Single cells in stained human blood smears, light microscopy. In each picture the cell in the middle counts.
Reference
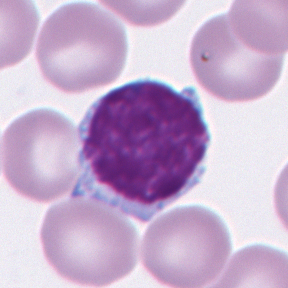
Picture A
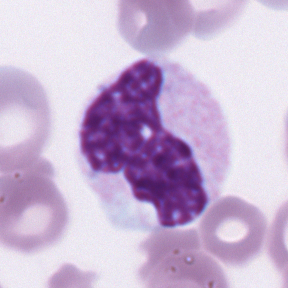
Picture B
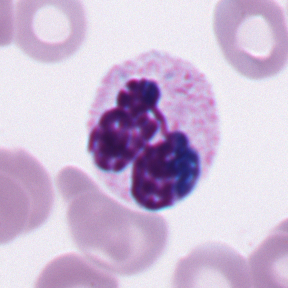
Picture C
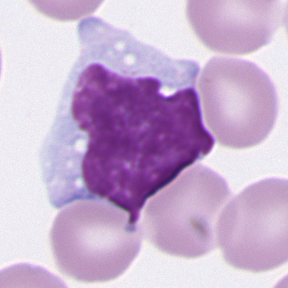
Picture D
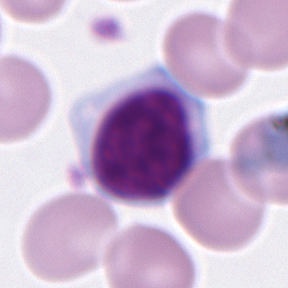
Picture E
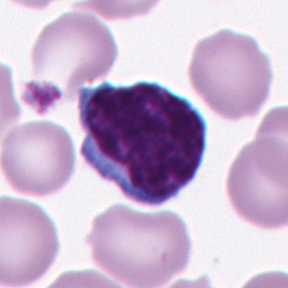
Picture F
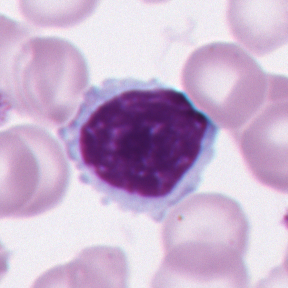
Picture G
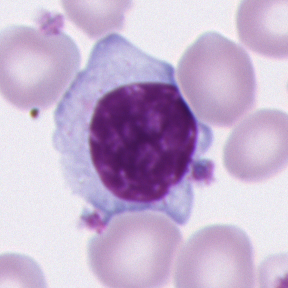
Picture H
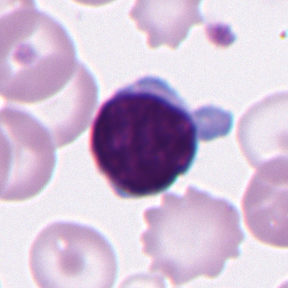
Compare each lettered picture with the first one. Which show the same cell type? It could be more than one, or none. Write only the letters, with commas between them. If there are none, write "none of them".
C, D, E, F, G, H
